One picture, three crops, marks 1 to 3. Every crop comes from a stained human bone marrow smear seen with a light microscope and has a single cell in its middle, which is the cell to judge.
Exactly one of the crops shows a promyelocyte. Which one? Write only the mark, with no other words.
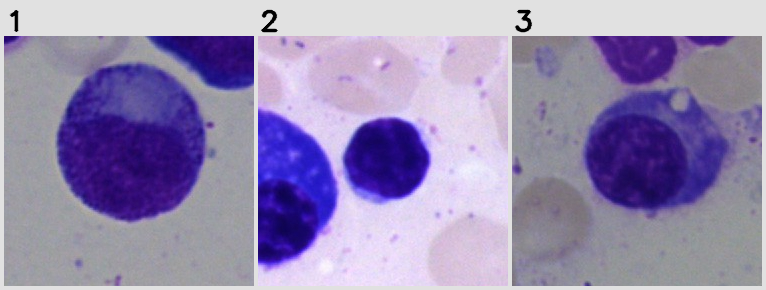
1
